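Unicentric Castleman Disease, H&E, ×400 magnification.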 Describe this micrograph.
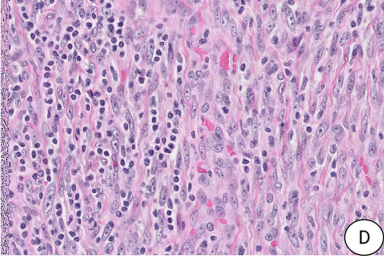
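This field shows a spindle cell proliferation, with elongated cells arranged in streaming bundles. Their nuclei are oval to spindled with fine chromatin and some are plump, set in pink cytoplasm, and scattered small dark lymphocytes and a few red cells lie between them.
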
